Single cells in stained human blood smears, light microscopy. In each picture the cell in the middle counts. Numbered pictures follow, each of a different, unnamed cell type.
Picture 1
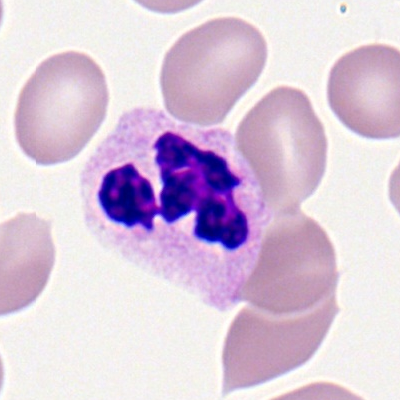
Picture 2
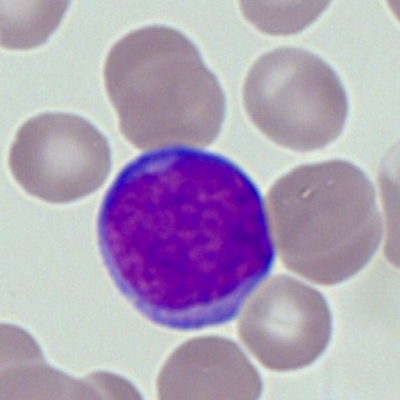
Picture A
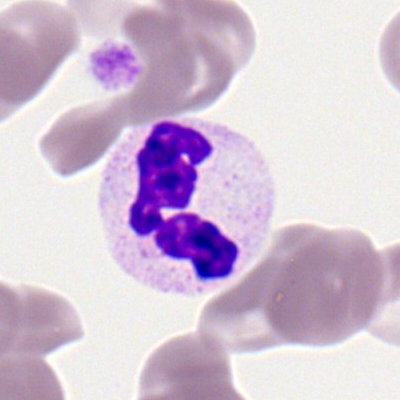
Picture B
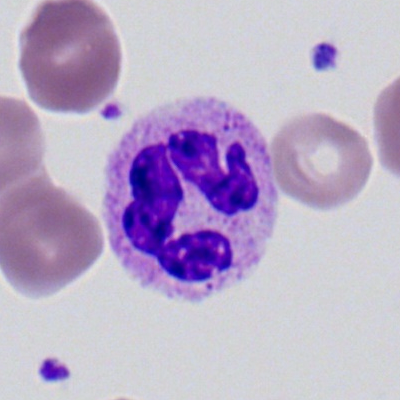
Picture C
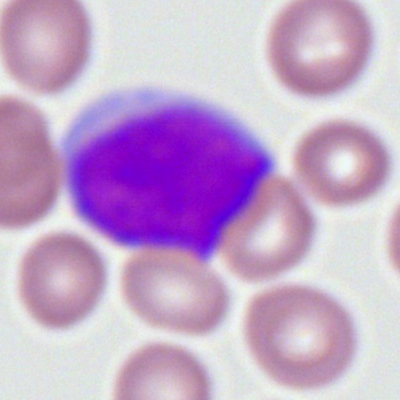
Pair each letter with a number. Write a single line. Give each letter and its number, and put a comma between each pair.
A 1, B 1, C 2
